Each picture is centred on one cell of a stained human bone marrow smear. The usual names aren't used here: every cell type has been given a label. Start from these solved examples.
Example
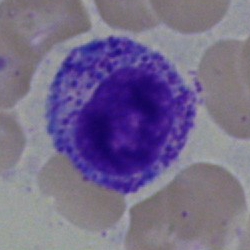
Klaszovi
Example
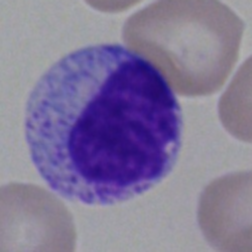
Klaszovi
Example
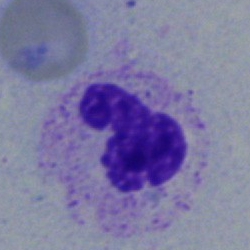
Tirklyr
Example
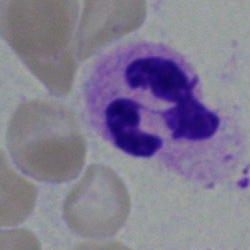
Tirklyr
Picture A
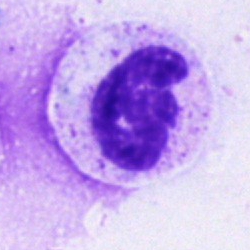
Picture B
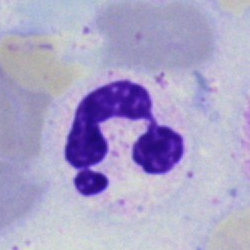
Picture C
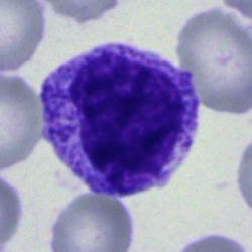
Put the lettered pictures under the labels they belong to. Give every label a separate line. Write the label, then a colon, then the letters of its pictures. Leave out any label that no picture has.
Klaszovi: C
Tirklyr: A, B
